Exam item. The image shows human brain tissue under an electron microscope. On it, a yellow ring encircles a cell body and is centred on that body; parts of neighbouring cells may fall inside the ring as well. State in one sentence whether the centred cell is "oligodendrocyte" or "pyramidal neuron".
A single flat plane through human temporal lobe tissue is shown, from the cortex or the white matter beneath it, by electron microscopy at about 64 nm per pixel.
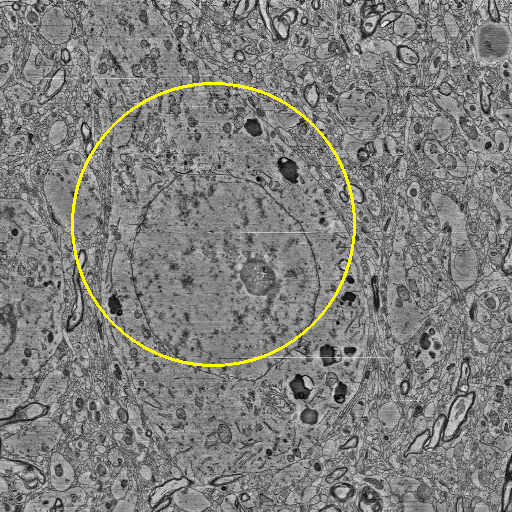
The cell body centred in the ring is a pyramidal neuron.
